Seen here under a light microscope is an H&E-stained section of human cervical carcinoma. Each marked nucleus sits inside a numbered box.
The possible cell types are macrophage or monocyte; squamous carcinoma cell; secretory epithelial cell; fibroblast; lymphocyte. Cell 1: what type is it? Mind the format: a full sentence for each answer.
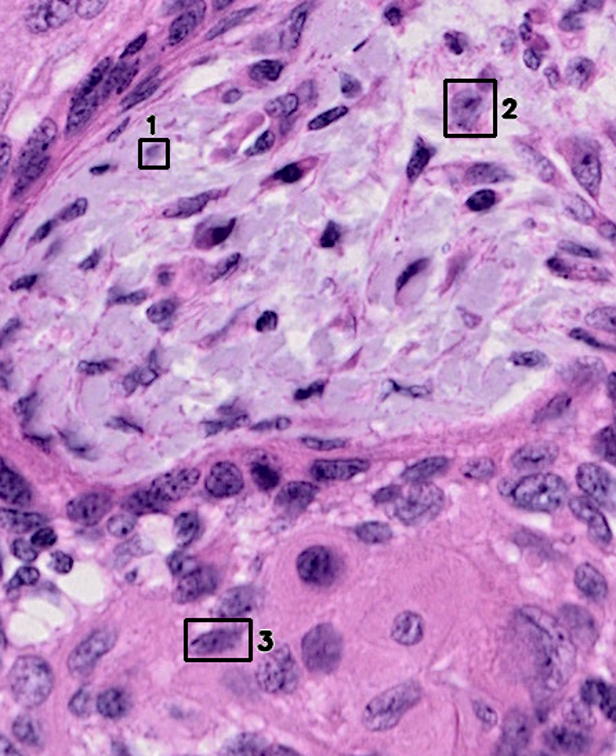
The cell whose nucleus carries the number 1 is a fibroblast.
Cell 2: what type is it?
The cell that is numbered 2 is a fibroblast.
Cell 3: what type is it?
Classified as a squamous carcinoma cell is the cell with the number 3.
